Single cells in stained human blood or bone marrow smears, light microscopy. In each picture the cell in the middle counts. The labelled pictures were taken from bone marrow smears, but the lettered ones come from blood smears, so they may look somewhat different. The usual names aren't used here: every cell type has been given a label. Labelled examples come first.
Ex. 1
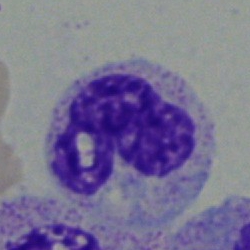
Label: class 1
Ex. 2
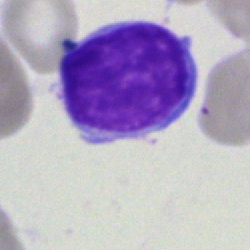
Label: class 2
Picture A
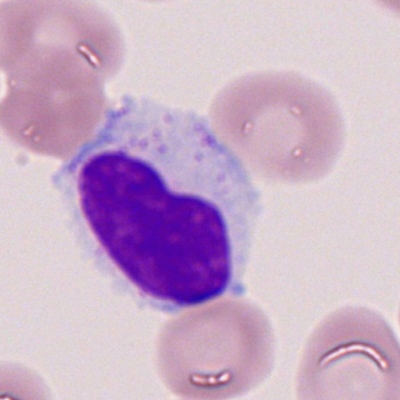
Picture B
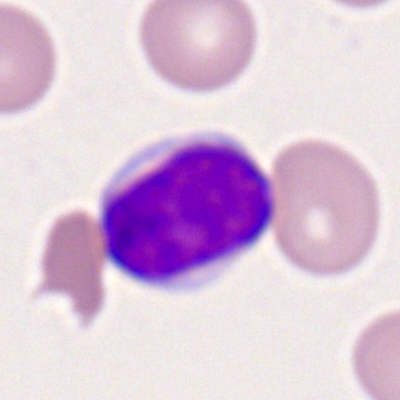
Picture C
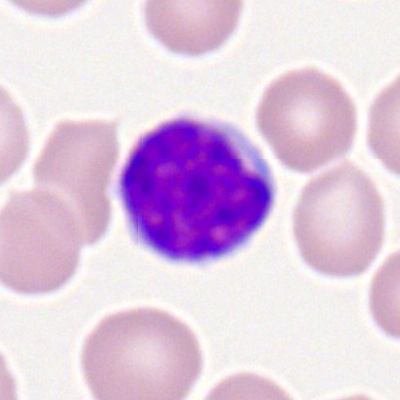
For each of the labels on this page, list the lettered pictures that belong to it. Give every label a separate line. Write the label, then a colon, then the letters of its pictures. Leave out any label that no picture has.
class 2: A, B, C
